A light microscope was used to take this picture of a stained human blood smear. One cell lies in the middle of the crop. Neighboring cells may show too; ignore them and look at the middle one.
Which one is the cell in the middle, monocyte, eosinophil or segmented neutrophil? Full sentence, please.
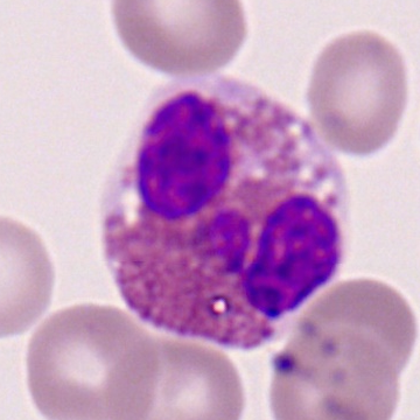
Located at the centre of the crop is an eosinophil.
